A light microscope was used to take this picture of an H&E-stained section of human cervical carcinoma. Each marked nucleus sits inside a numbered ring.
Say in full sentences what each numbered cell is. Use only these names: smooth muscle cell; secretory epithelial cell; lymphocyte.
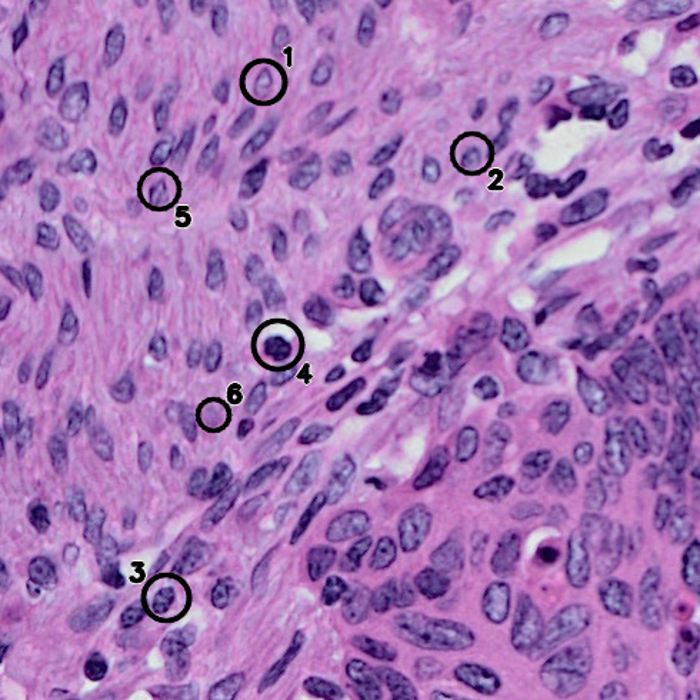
Cells 1, 2, 5 and 6 are smooth muscle cells. Cells 3 and 4 are lymphocytes.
